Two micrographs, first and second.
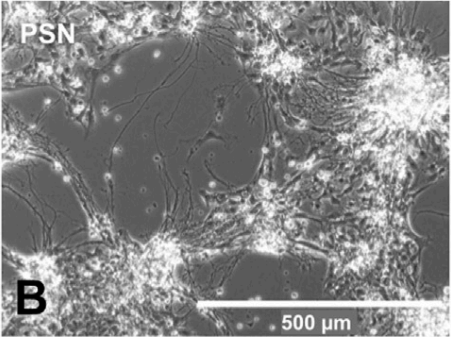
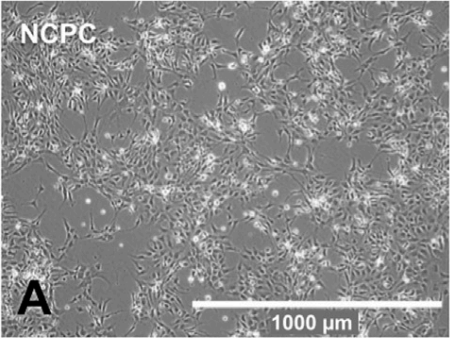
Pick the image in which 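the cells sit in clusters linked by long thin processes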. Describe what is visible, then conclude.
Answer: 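The first image. First image: dense cell clusters with long thin processes spanning empty areas between them. Second image: flat spindle-shaped cells spread fairly evenly as a monolayer, without long linking processes.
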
